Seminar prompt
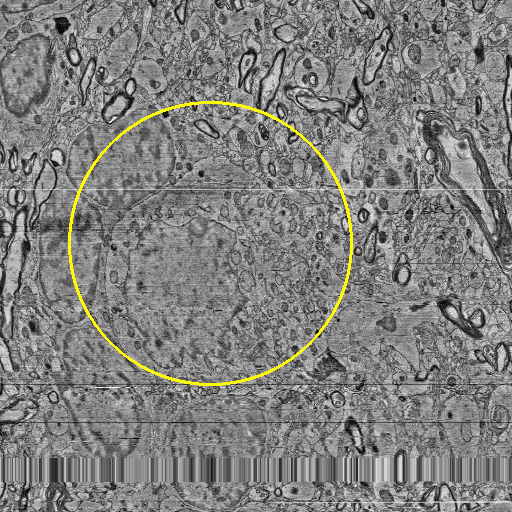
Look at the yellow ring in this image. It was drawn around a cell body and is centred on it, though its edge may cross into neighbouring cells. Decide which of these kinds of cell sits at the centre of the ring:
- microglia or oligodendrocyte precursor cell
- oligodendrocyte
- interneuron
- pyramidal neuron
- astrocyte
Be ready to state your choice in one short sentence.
The kind of cell at the ring's centre is an interneuron.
